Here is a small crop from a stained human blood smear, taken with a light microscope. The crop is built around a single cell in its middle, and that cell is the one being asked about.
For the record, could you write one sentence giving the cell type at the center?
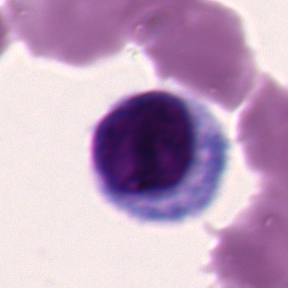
The crop's centre is taken up by a hairy cell.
